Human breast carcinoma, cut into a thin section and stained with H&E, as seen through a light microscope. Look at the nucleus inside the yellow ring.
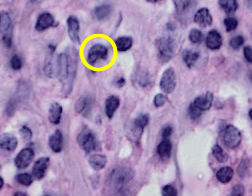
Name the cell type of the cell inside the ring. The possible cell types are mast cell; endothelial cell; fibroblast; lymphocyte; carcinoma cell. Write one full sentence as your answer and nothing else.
In terms of identity, the cell inside the ring is a lymphocyte.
